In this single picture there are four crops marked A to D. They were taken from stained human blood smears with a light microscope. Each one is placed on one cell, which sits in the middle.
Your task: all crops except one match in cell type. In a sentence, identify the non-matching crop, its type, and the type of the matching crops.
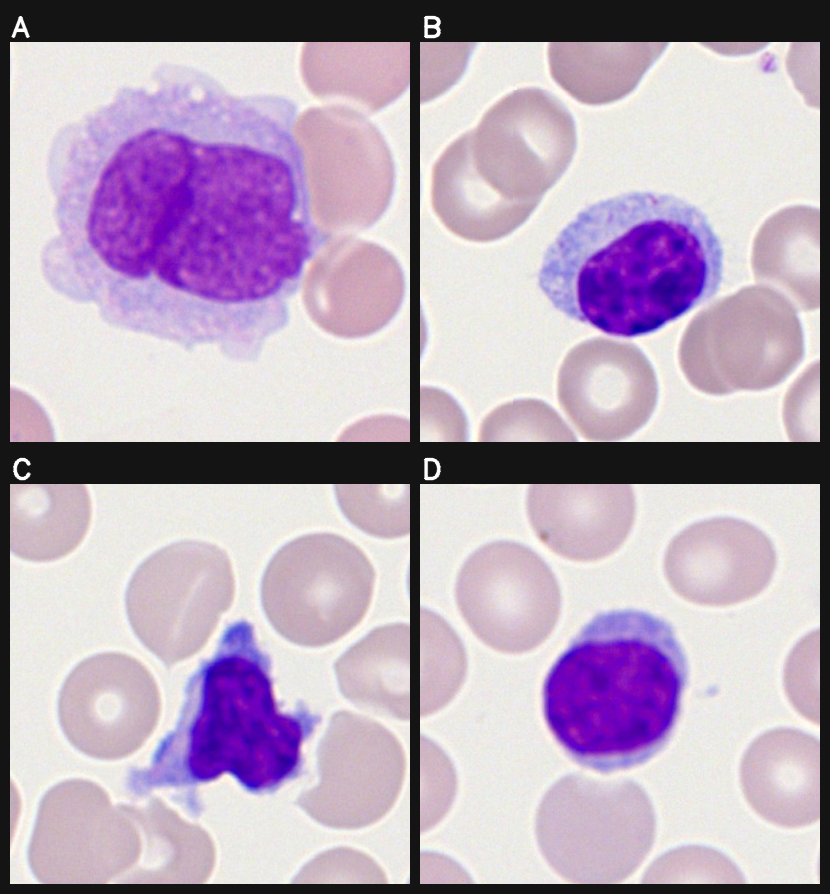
Crop A is the odd one out, being a monocyte, while all the other crops show lymphocytes.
